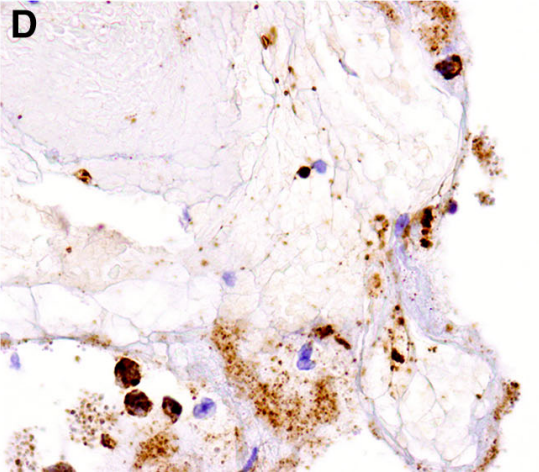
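The background is a pale, loose meshwork of unstained material with thin strands. Scattered within it are rounded cells densely filled with dark brown granules. Finer brown granular material lies dispersed around them in the meshwork. A few small blue nuclei without brown staining are also present.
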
